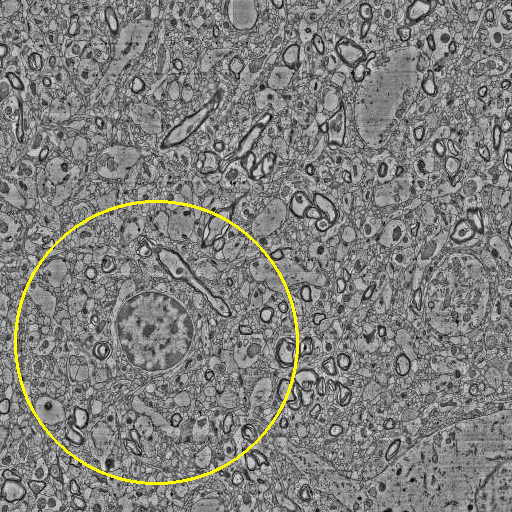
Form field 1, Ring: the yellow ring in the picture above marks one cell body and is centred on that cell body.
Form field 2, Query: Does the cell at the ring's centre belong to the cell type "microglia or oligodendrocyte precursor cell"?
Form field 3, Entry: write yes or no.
yes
